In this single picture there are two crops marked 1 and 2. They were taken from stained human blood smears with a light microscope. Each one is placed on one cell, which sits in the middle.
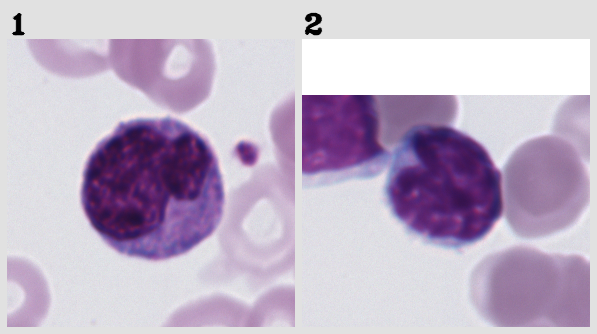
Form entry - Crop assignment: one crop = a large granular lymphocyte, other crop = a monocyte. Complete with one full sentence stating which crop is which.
Crop 1 is a monocyte, while a large granular lymphocyte is the cell in crop 2.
